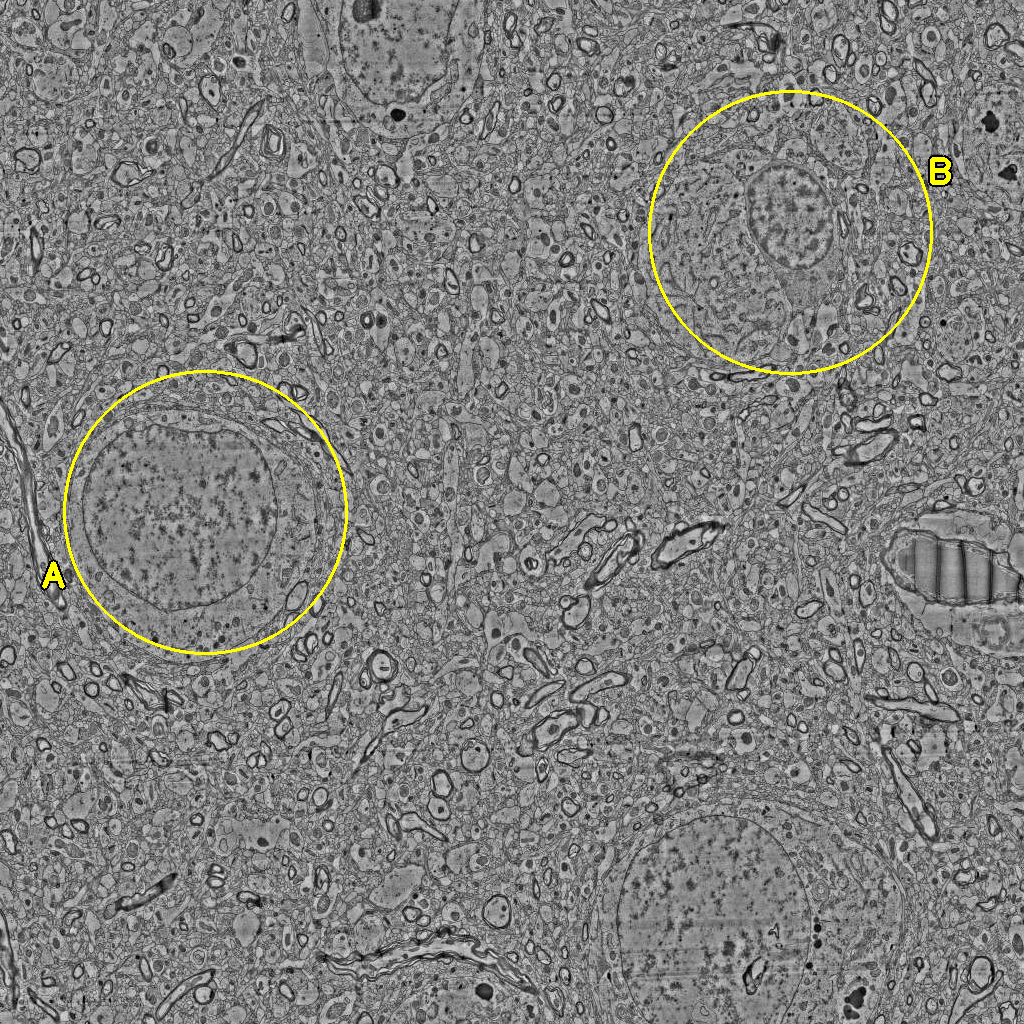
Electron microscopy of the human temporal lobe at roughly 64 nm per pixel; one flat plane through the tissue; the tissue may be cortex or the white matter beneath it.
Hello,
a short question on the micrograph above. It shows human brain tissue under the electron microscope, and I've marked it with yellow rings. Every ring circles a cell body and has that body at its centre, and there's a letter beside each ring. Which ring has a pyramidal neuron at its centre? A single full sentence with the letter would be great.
The cell you asked about sits at the centre of ring A.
